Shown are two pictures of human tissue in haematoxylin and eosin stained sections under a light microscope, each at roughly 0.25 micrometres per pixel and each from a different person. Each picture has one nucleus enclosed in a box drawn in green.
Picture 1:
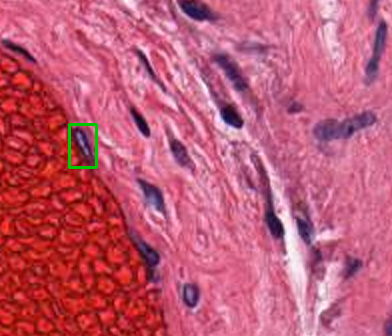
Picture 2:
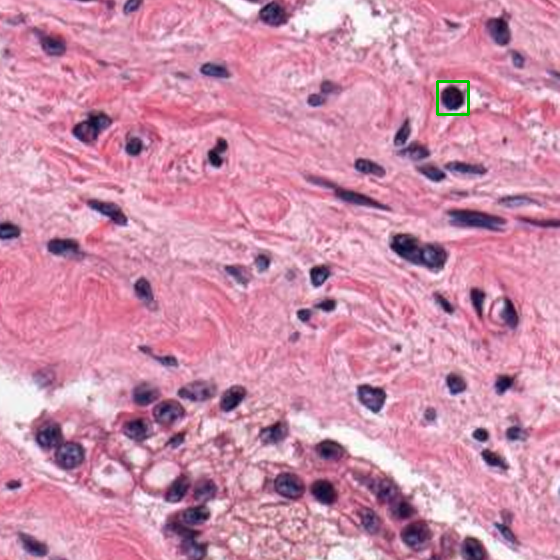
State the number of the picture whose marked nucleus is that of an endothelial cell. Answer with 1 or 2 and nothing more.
1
